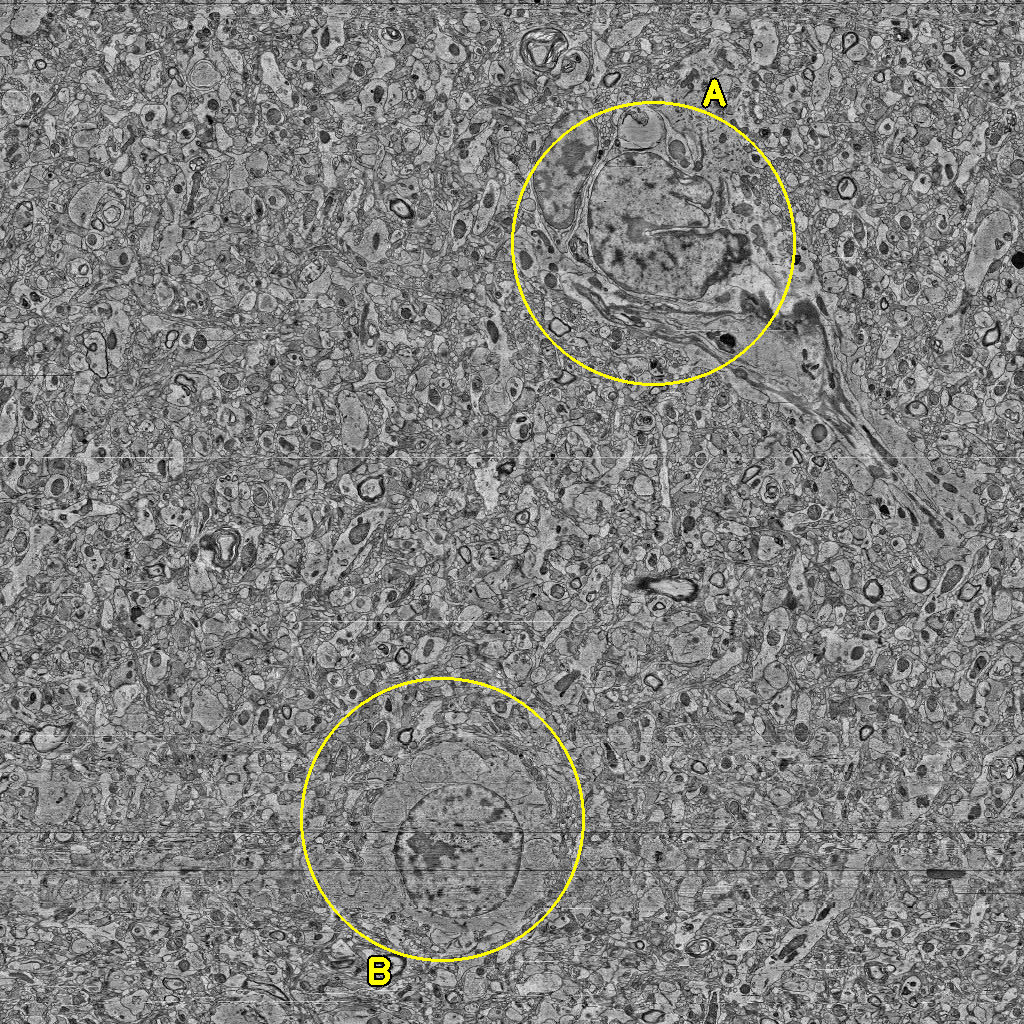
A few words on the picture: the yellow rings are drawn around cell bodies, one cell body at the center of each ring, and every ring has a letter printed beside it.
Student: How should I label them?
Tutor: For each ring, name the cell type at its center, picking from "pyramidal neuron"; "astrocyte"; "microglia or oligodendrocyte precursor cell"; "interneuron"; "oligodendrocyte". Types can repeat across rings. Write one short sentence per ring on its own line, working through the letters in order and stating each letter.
In ring A, the central cell is a microglial cell or oligodendrocyte precursor cell.
In ring B, the central cell is an astrocyte.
